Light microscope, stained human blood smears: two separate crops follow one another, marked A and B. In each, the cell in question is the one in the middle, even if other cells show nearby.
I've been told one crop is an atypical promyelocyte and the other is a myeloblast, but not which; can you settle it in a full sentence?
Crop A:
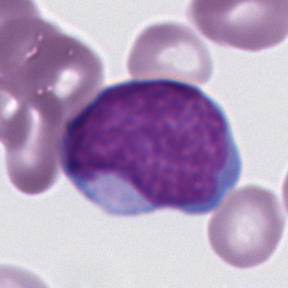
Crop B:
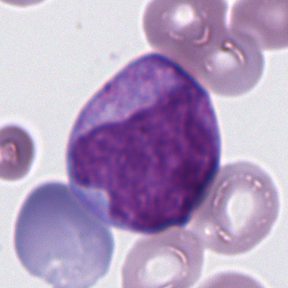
Classification: crop A is a myeloblast, crop B is an atypical promyelocyte.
